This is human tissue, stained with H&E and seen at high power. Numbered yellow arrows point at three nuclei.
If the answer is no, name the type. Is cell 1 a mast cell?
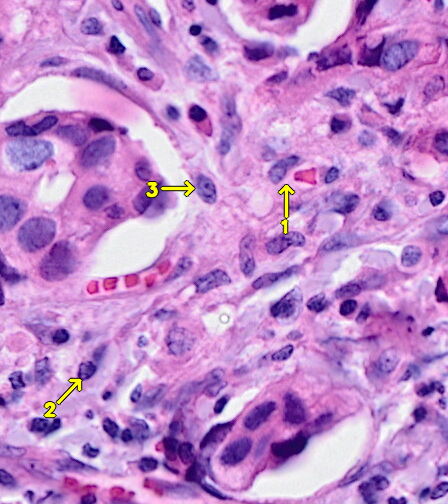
No, it is an endothelial cell.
